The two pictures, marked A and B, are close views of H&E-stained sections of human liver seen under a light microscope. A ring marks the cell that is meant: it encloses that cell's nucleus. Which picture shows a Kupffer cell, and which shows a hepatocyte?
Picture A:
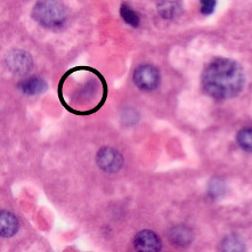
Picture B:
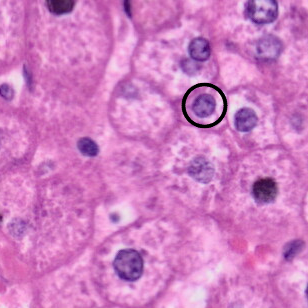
A: Kupffer cell
B: hepatocyte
